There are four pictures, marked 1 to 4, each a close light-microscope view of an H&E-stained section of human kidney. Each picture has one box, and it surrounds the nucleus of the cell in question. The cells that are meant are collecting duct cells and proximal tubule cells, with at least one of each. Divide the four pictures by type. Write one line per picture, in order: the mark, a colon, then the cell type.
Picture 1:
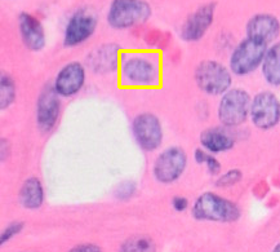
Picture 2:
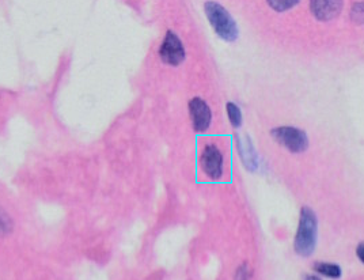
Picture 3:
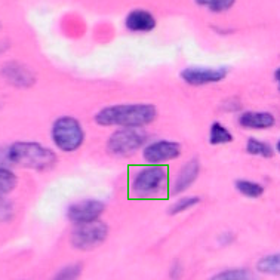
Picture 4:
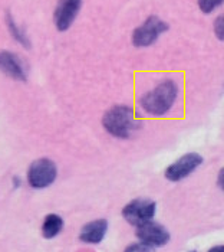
1: collecting duct cell
2: proximal tubule cell
3: collecting duct cell
4: proximal tubule cell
